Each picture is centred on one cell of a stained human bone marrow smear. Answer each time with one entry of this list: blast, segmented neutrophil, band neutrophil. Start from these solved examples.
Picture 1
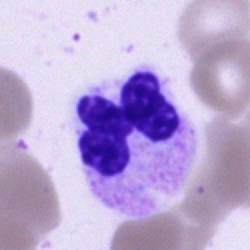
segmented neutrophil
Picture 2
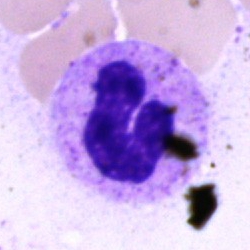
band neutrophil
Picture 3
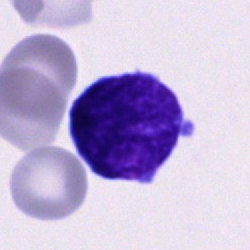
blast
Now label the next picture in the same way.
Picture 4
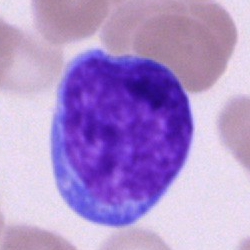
blast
